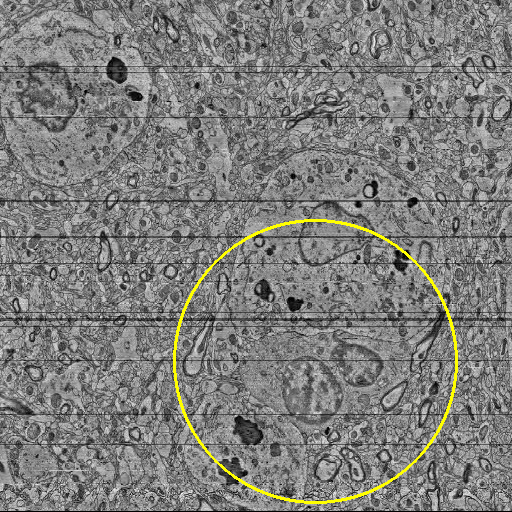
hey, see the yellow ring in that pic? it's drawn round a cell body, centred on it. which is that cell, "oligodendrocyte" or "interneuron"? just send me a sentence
The cell in the ring is an oligodendrocyte.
